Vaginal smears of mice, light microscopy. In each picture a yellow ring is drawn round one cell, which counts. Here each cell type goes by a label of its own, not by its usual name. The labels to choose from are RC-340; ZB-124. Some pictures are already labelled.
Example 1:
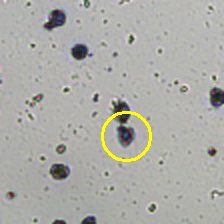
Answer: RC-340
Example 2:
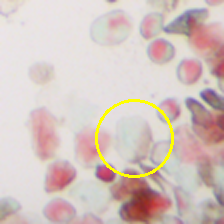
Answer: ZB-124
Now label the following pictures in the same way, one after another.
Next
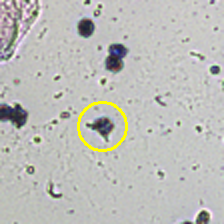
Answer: RC-340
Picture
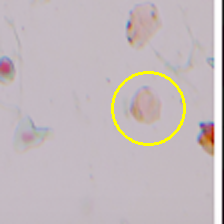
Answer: ZB-124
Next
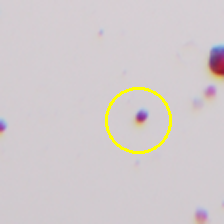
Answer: RC-340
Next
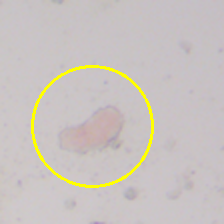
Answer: ZB-124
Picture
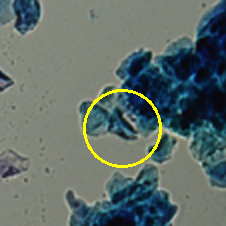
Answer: ZB-124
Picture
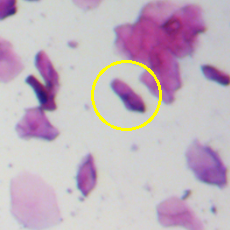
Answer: ZB-124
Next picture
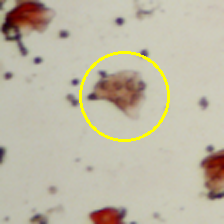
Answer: ZB-124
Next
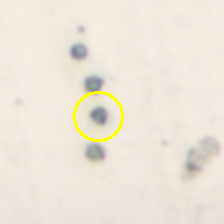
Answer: RC-340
